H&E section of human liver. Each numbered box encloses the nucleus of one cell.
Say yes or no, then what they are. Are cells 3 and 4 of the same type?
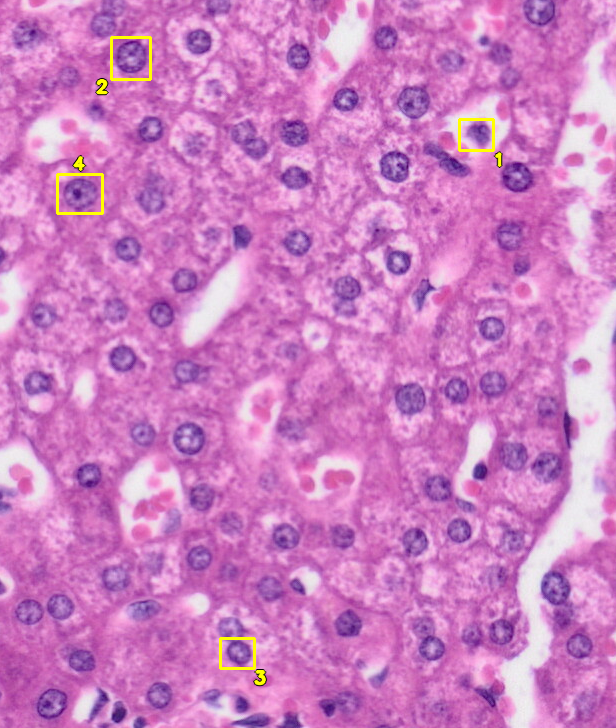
Yes, the cells numbered 3 and 4 are both hepatocytes.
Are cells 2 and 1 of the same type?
No, sorry to say, cell 2 is a hepatocyte and cell 1 is a Kupffer cell.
